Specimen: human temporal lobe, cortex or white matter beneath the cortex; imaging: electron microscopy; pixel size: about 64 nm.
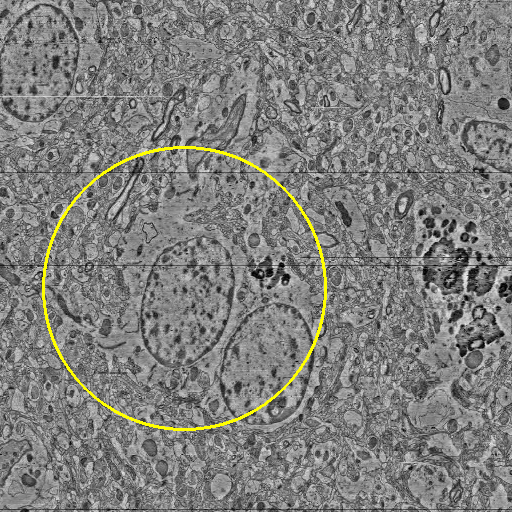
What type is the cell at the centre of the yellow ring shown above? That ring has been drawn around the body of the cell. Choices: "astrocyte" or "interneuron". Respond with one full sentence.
My answer is that an astrocyte lies at the centre of the yellow ring above.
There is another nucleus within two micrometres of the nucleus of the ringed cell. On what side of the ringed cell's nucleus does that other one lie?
The second nucleus sits to the lower right of it.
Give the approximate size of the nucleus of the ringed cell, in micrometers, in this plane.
About 9 by 6 micrometres in this plane; clearly longer than it is wide.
